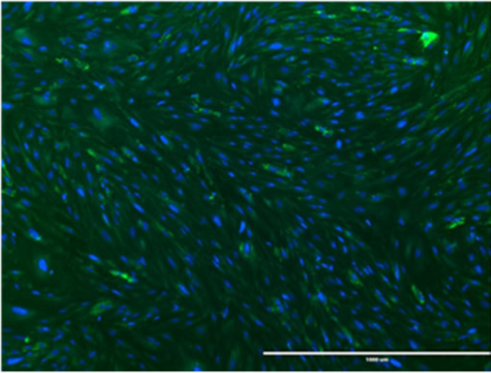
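A dense monolayer of cultured cells is seen at low magnification. Most cells are elongated and spindle-shaped, with small oval blue nuclei, and they lie side by side in streams and swirls. Bright green puncta and small clusters stand out in the cytoplasm of a scattered minority of cells against a faint green background.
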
